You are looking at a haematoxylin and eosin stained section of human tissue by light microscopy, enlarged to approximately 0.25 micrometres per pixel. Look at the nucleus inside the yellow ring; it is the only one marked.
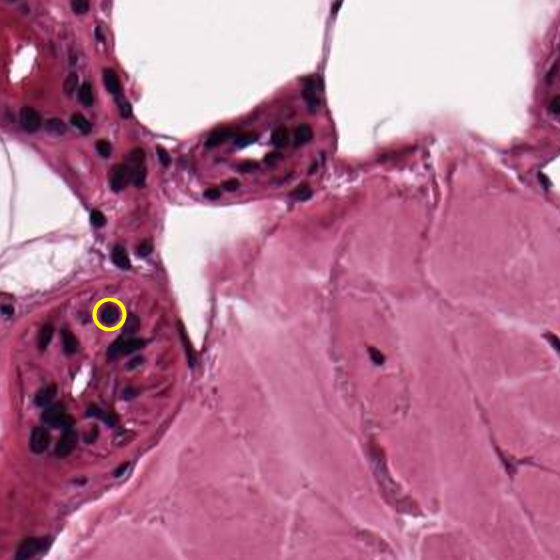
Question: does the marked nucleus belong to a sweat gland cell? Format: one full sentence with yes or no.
Yes, the marked nucleus belongs, in this section, to a sweat gland cell.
